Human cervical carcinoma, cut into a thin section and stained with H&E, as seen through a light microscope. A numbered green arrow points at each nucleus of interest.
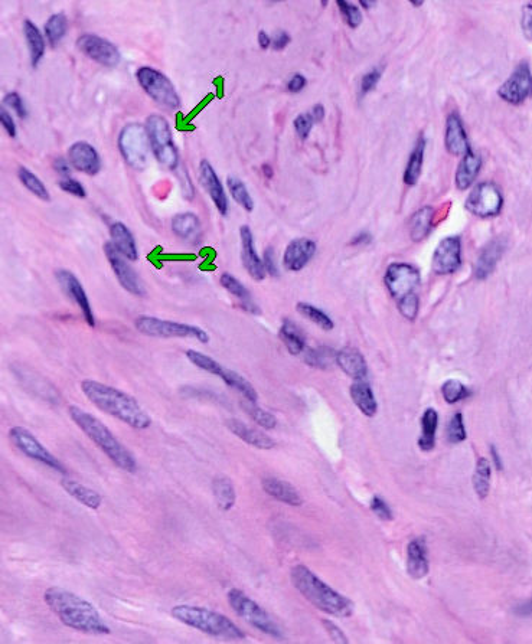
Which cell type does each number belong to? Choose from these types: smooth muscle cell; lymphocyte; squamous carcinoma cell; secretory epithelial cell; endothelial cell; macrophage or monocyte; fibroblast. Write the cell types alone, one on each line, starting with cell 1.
endothelial cell
fibroblast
